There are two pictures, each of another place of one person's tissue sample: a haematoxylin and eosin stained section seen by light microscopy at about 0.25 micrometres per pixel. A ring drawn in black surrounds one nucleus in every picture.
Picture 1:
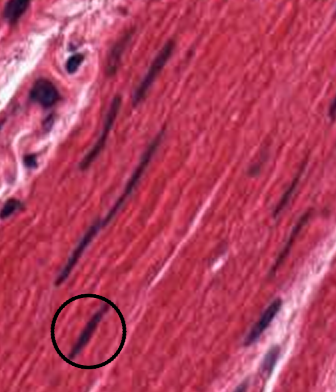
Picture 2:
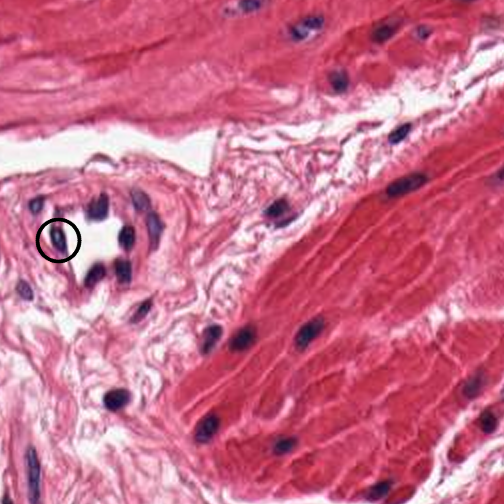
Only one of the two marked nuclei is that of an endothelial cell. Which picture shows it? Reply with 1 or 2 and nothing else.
2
